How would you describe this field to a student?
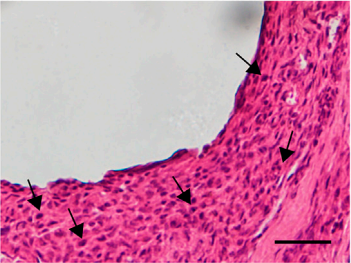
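The tissue along the empty space is densely cellular, packed with many small cells whose nuclei are dark purple, round to oval, and crowded closely together in a pink background. Black arrows point to several of these cells along the edge and deeper in the tissue. Towards the right the cells become more elongated and aligned in pink fibrous strands.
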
